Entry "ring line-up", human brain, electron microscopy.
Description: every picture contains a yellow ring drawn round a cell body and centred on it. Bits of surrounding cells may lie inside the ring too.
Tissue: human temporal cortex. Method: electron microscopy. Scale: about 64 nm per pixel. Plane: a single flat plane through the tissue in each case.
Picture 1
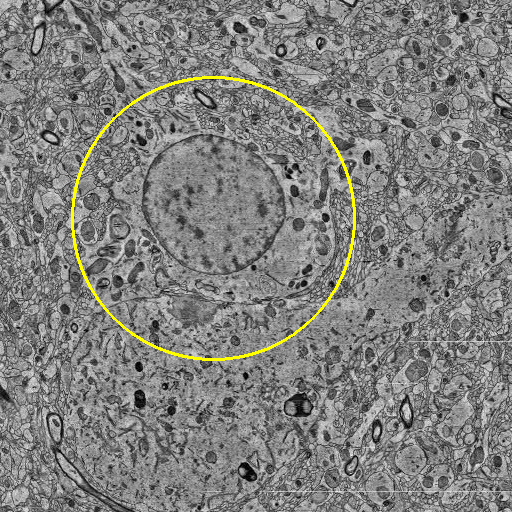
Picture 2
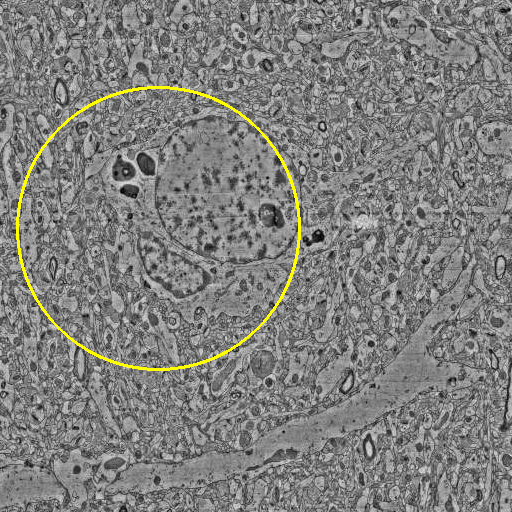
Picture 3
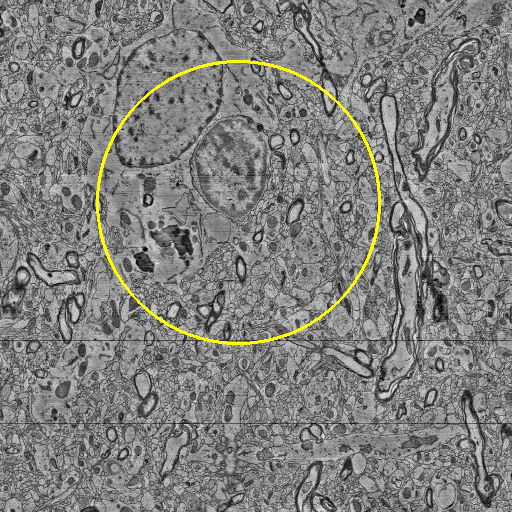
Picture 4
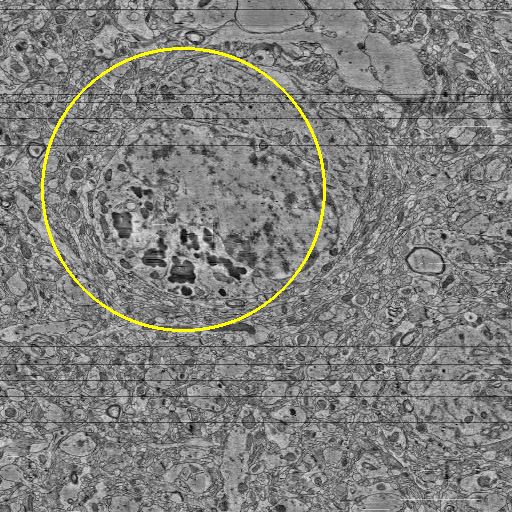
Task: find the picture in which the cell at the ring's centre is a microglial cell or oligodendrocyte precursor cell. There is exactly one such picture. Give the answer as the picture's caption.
Picture 2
